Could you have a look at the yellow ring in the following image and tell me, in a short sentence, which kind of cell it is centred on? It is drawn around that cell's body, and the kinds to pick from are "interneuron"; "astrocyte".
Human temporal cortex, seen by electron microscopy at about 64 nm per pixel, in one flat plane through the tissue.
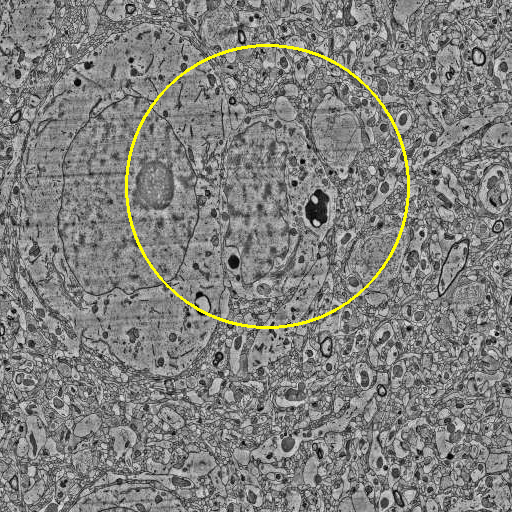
The ring is centred on the body of an interneuron.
